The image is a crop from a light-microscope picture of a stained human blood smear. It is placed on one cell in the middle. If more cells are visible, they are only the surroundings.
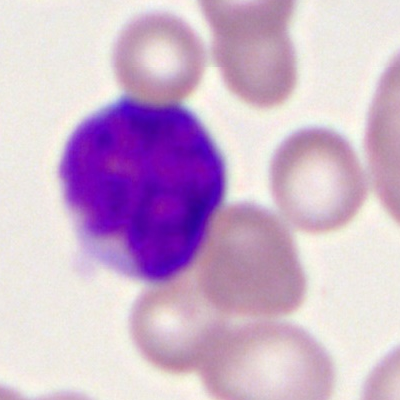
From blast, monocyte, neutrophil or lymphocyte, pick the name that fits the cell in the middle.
blast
